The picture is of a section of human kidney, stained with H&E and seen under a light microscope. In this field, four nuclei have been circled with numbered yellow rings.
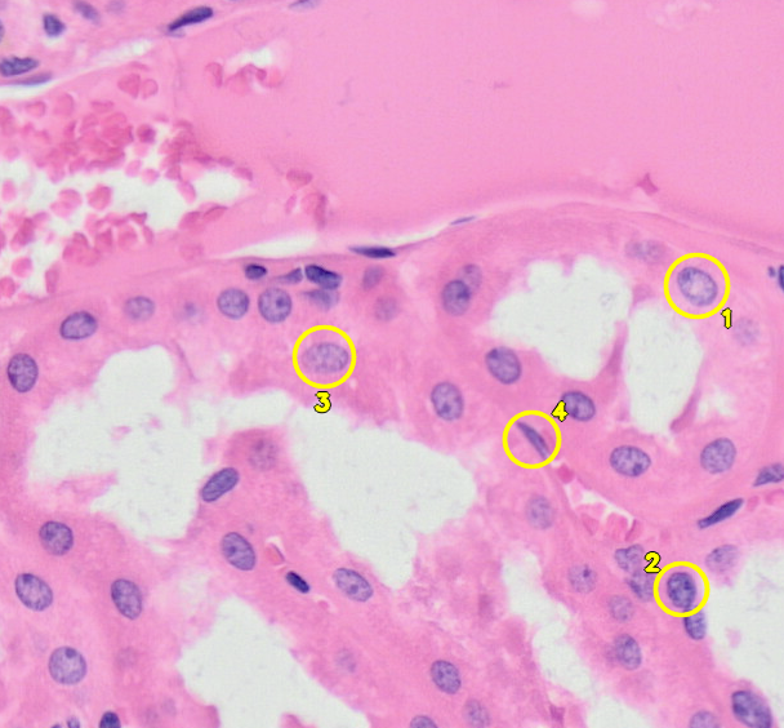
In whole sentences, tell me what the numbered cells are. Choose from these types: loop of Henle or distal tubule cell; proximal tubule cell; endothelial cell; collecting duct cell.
Cells 1 and 3 are proximal tubule cells. Cell 2 is a loop of Henle or distal tubule cell. Cell 4 is an endothelial cell.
